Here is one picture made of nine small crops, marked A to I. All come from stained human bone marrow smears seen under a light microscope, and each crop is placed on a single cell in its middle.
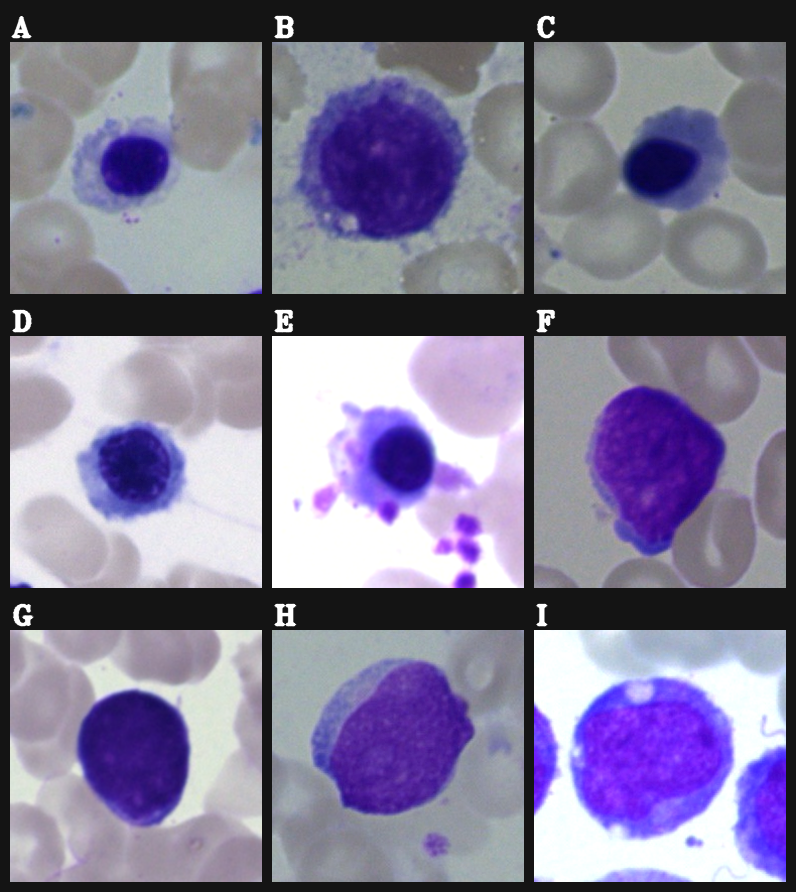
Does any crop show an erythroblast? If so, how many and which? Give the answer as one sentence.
The total of crops with erythroblasts is four, comprising A, C, D and E.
